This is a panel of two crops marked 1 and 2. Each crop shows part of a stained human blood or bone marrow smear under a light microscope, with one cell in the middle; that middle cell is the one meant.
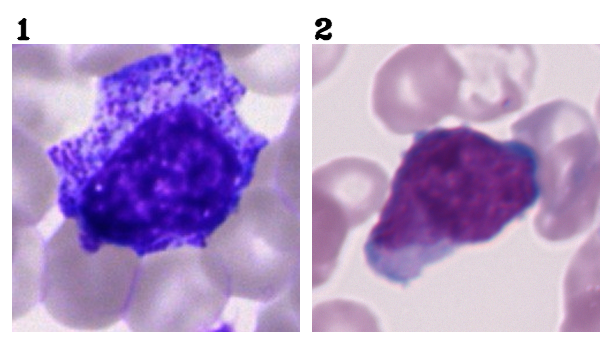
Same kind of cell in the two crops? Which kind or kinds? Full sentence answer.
No, crop 1 offers a myelocyte, while crop 2 offers a blast.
